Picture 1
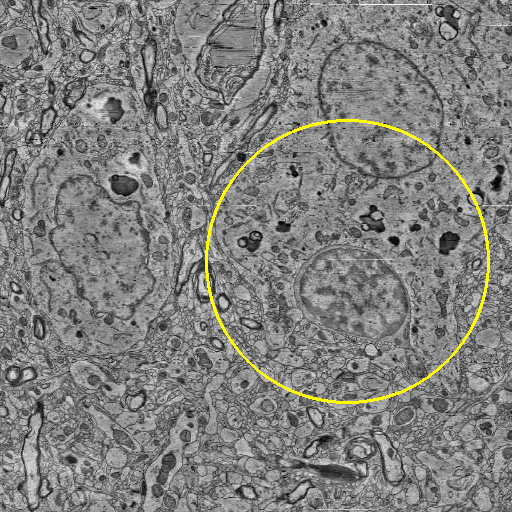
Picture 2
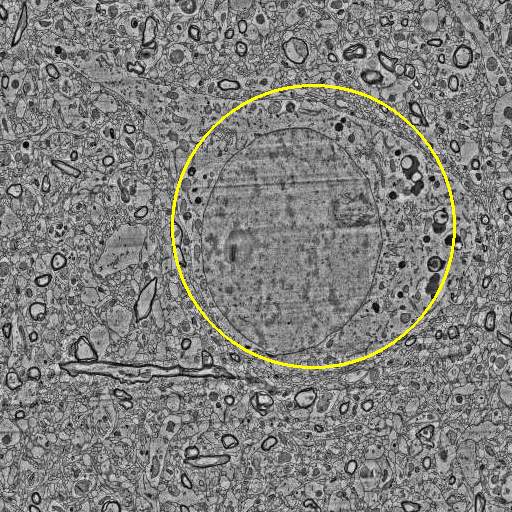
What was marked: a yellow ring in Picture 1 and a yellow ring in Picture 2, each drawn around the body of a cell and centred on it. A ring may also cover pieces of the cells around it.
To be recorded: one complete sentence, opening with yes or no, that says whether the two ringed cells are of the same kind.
No, the two ringed cells are of two kinds.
